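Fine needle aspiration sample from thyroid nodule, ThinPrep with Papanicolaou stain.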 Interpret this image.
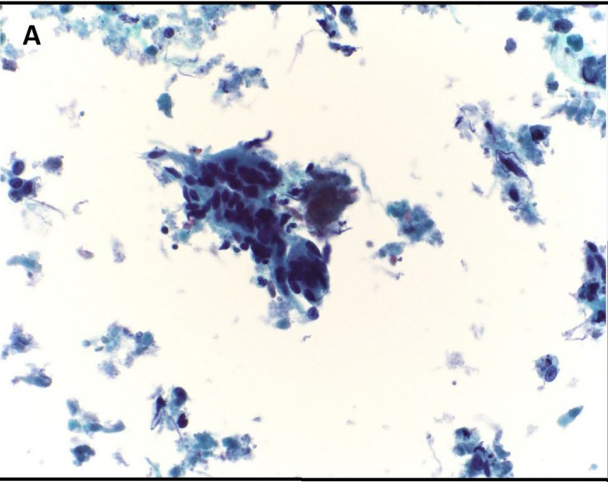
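A crowded cluster of malignant cells with enlarged, dark blue, overlapping nuclei of varying size and shape lies at the centre. Scattered smaller fragments of blue-green debris fill the background, a "dirty" necrotic backdrop.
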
